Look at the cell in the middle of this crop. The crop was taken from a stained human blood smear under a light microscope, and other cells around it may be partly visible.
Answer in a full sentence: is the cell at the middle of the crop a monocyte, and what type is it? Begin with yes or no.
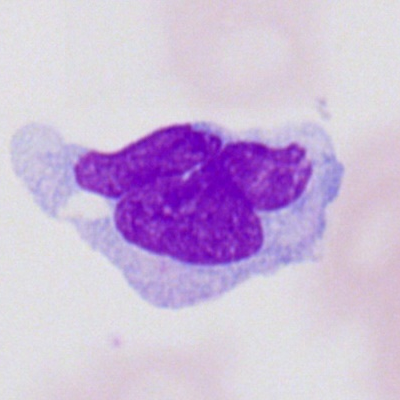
Yes, the cell at the center of the crop is a monocyte.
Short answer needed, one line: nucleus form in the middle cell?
Two or more lobes make up the nucleus of this cell.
